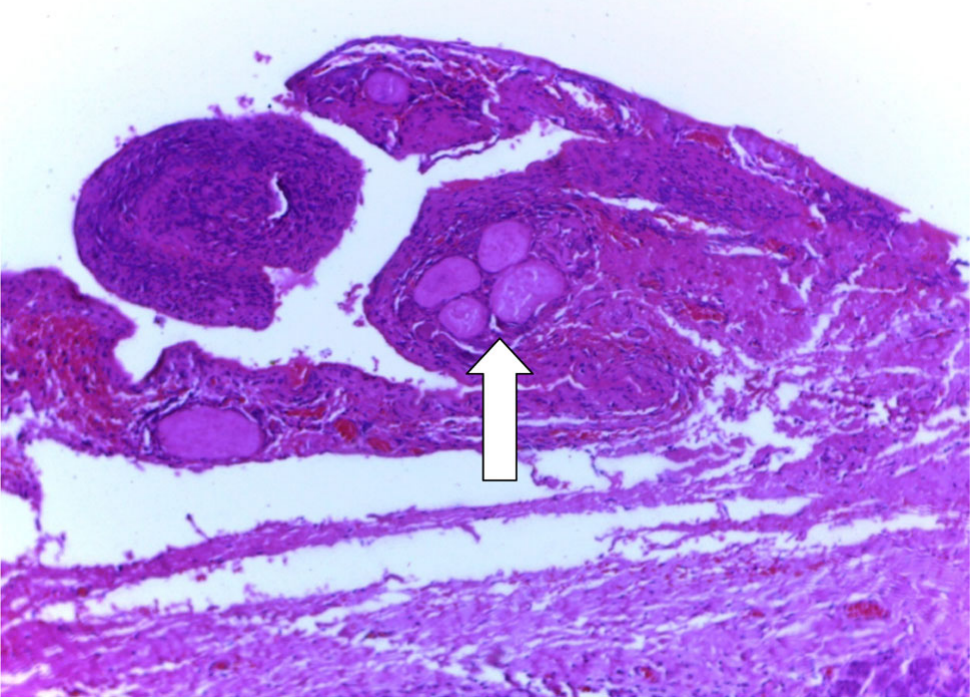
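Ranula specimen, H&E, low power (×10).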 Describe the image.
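The pools have no lining of cells and contain no nuclei. They sit in pink, streaming fibrous tissue that carries scattered purple nuclei. Small vessels filled with red blood cells run through this stroma. A curled fragment of more densely cellular tissue lies at the upper left, and looser fibrous tissue extends along the bottom of the field.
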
